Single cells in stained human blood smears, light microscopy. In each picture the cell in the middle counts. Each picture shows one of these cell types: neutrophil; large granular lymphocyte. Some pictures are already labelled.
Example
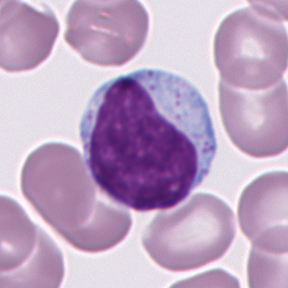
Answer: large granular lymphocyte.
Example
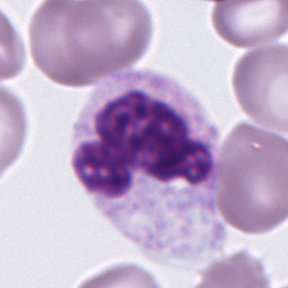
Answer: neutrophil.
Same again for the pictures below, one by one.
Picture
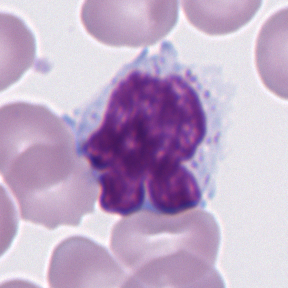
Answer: large granular lymphocyte.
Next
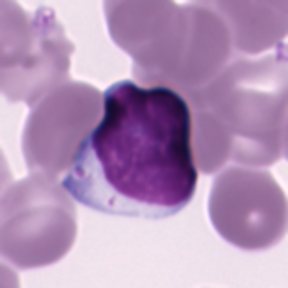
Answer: large granular lymphocyte.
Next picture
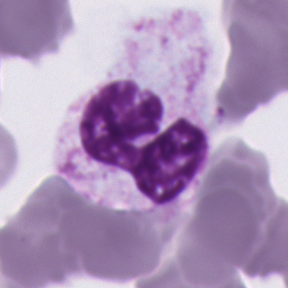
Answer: neutrophil.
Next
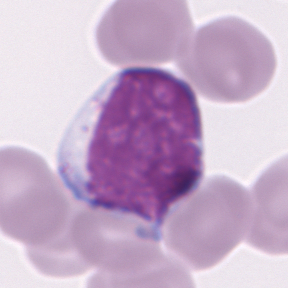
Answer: large granular lymphocyte.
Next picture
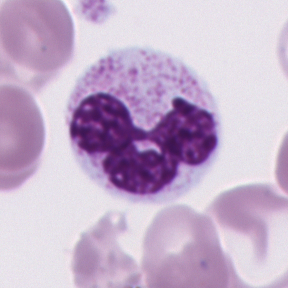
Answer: neutrophil.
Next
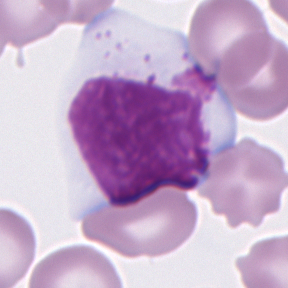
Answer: large granular lymphocyte.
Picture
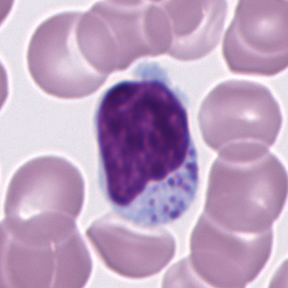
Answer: large granular lymphocyte.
